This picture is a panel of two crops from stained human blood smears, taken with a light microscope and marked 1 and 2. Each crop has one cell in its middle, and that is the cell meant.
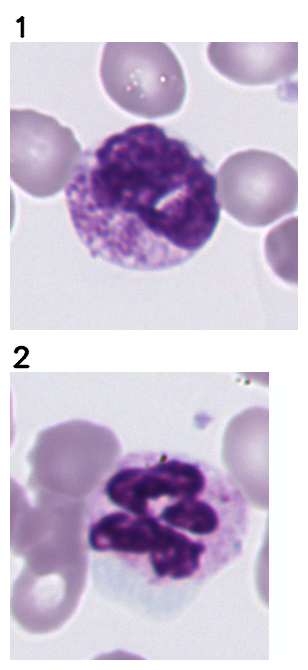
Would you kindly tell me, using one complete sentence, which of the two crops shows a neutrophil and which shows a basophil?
The middle of crop 1 is occupied by a basophil, and the middle of crop 2 by a neutrophil.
